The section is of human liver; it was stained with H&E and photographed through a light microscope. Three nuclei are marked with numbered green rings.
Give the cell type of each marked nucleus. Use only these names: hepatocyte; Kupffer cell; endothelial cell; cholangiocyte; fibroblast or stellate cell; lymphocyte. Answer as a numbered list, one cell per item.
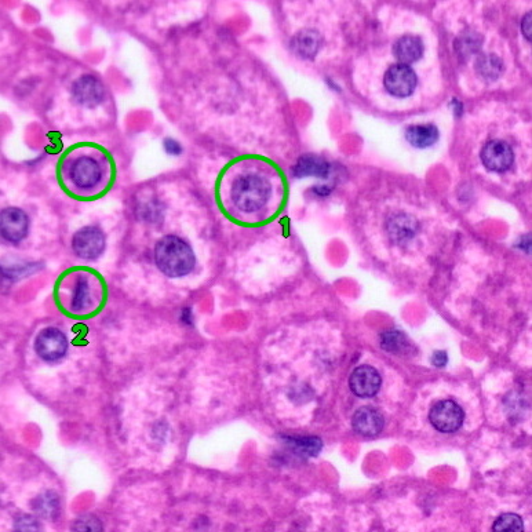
1. hepatocyte
2. endothelial cell
3. hepatocyte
